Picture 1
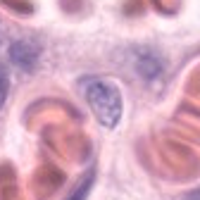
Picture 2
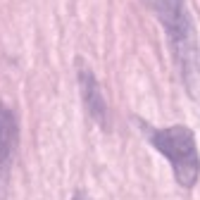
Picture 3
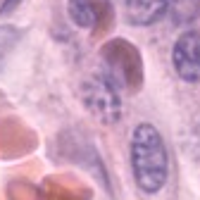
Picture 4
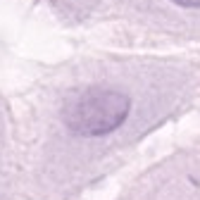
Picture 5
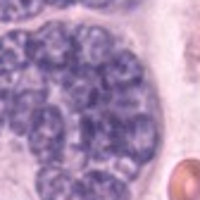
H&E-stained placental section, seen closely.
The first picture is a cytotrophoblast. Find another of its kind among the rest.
Picture 3.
